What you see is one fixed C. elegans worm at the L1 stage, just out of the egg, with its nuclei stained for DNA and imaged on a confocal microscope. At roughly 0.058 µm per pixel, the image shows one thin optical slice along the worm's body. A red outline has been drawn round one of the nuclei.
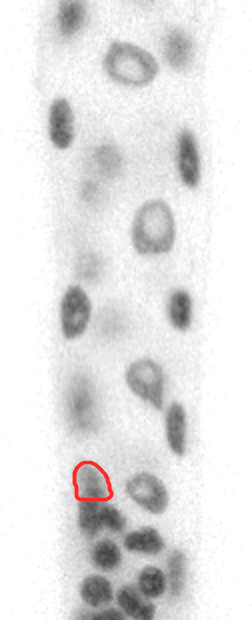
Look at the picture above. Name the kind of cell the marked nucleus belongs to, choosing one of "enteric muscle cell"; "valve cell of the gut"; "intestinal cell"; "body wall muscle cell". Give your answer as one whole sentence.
This nucleus is from an enteric muscle cell.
